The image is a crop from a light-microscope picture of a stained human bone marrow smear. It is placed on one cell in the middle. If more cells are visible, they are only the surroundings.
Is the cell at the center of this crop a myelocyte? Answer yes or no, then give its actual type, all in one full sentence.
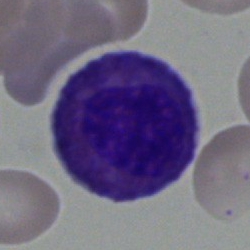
No, the centre cell counts as an eosinophil, not as a myelocyte.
